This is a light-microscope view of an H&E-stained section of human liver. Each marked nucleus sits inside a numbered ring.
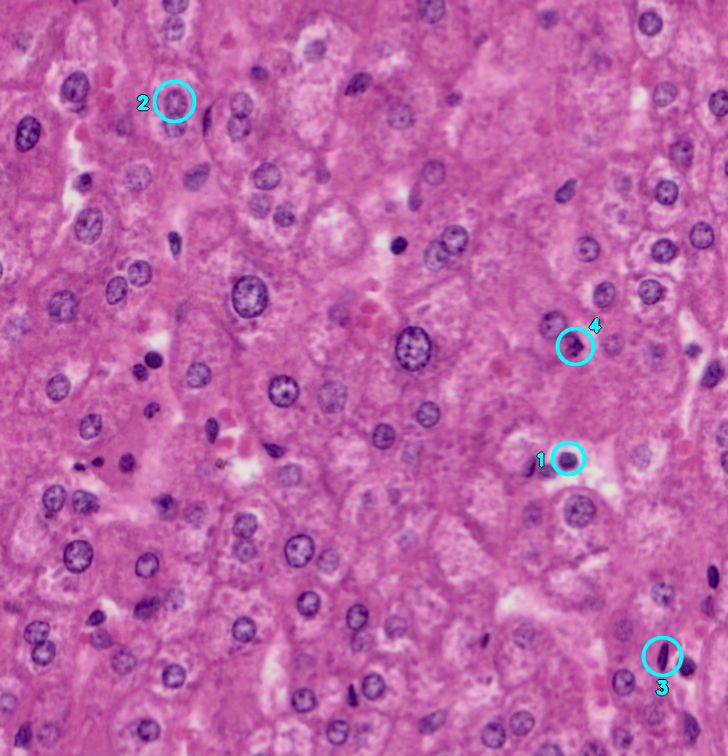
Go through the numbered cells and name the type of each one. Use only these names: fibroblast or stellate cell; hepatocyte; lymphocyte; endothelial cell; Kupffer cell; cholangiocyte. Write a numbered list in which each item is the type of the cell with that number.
1. lymphocyte
2. hepatocyte
3. fibroblast or stellate cell
4. endothelial cell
